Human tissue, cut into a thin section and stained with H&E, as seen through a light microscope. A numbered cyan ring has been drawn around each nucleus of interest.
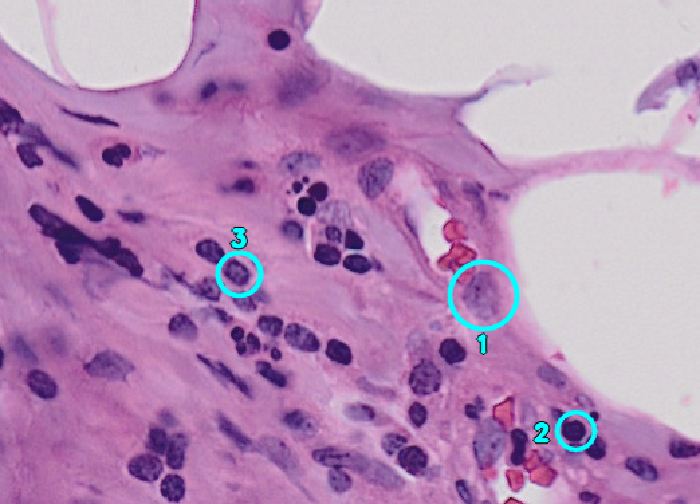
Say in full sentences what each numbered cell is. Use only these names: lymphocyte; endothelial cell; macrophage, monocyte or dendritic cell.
Cell 1 is an endothelial cell, cell 2 is a lymphocyte and cell 3 is a lymphocyte.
